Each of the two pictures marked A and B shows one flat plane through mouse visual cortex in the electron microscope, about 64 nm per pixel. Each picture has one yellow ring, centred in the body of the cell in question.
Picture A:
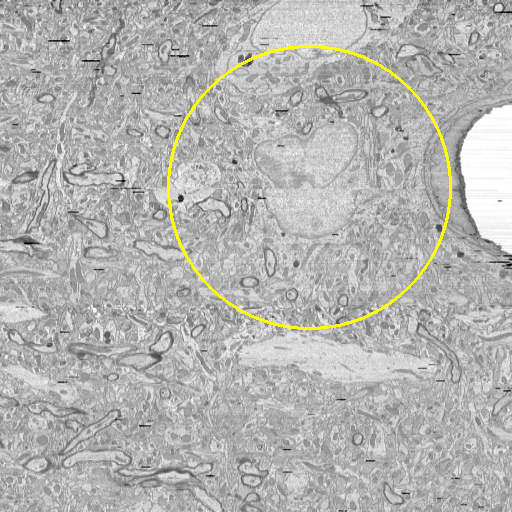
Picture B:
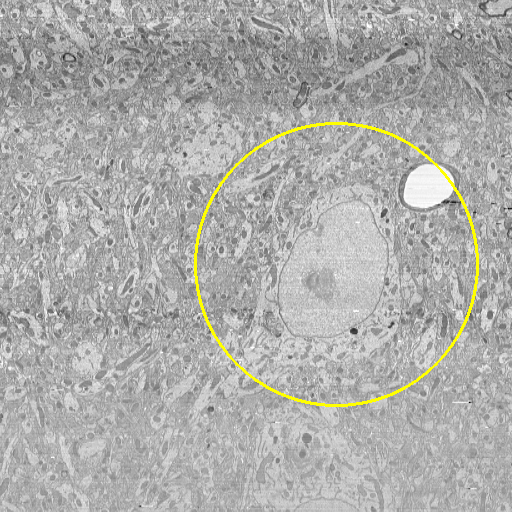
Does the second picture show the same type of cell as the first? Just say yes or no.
no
